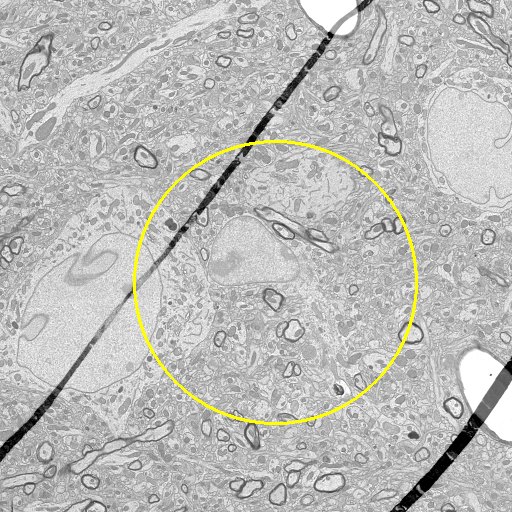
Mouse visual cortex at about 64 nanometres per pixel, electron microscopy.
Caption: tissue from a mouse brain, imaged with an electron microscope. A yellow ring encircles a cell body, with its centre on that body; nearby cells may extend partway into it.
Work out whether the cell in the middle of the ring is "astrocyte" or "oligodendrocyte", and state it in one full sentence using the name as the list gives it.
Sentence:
In the picture, the cell that the yellow ring surrounds at its centre is an astrocyte.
